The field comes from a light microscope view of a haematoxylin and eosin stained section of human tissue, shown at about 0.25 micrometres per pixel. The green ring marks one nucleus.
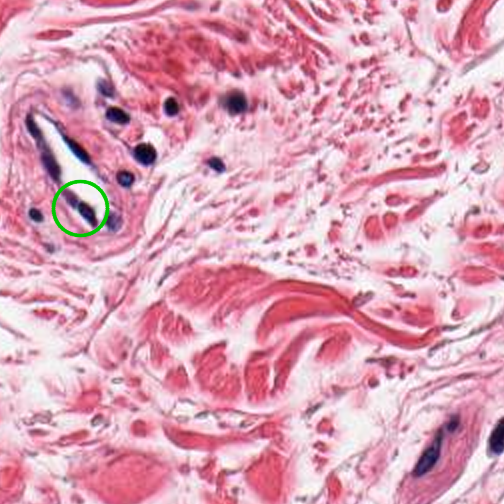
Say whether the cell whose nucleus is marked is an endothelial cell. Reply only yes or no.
yes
